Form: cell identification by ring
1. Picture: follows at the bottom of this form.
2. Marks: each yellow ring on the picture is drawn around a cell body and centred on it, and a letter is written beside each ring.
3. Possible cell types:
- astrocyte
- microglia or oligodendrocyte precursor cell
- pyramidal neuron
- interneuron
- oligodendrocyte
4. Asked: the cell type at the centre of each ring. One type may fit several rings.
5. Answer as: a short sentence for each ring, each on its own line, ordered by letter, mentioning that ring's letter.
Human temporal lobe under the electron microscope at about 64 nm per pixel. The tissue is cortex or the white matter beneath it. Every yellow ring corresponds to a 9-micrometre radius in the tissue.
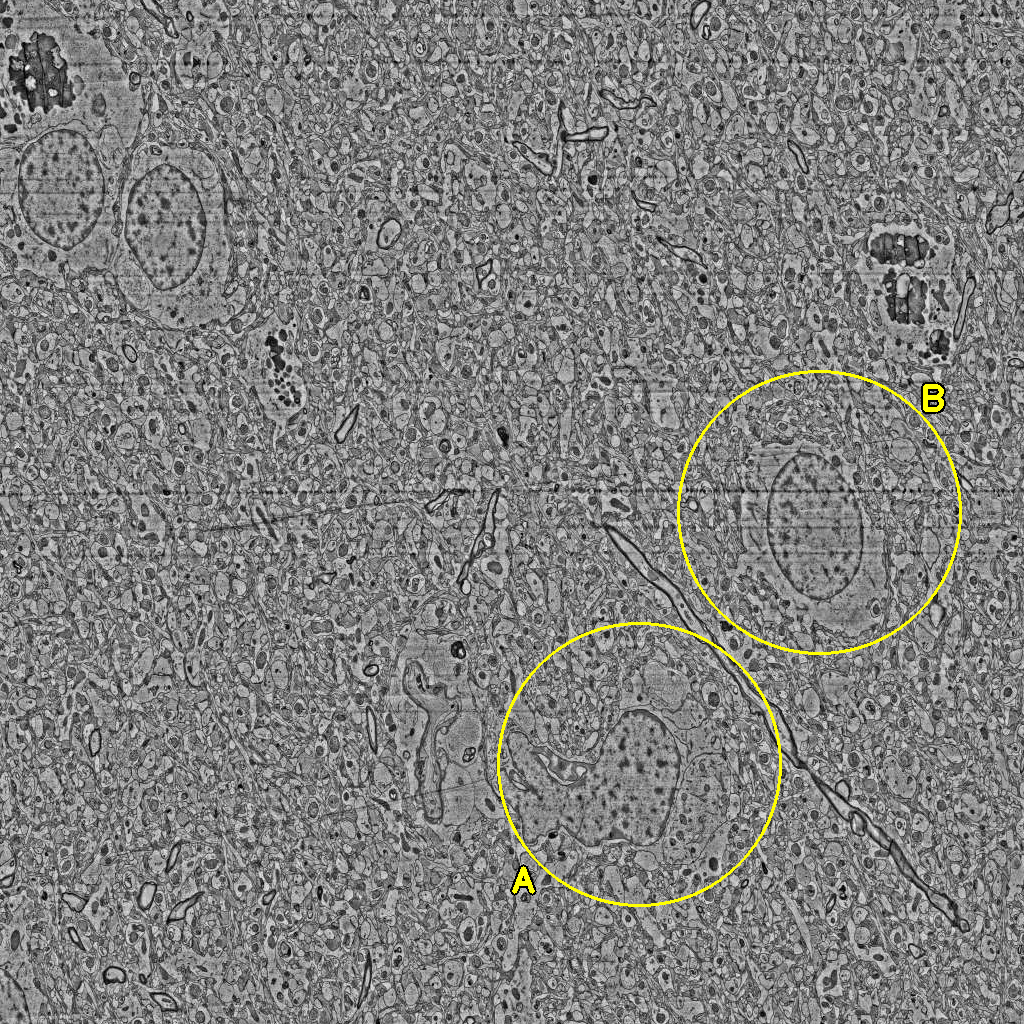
The cell at ring A's centre is a microglial cell or oligodendrocyte precursor cell.
The cell at ring B's centre is an astrocyte.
